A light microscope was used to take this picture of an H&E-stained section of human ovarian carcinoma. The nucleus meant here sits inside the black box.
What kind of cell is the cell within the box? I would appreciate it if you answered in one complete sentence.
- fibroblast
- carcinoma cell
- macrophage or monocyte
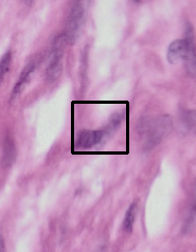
The identity of the cell within the box: it is a fibroblast.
